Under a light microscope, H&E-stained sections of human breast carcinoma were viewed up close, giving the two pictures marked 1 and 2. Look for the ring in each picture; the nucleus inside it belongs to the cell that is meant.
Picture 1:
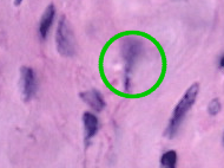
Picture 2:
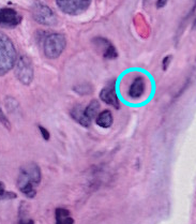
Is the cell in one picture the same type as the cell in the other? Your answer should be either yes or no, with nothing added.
no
